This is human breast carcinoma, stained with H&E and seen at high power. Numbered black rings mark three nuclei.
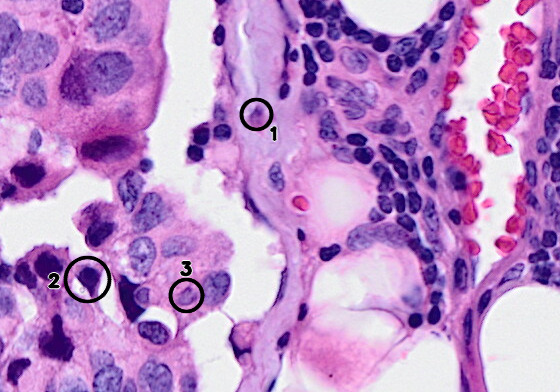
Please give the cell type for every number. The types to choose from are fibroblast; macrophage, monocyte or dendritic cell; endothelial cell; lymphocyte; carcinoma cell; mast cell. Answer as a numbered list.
1. mast cell
2. carcinoma cell
3. carcinoma cell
